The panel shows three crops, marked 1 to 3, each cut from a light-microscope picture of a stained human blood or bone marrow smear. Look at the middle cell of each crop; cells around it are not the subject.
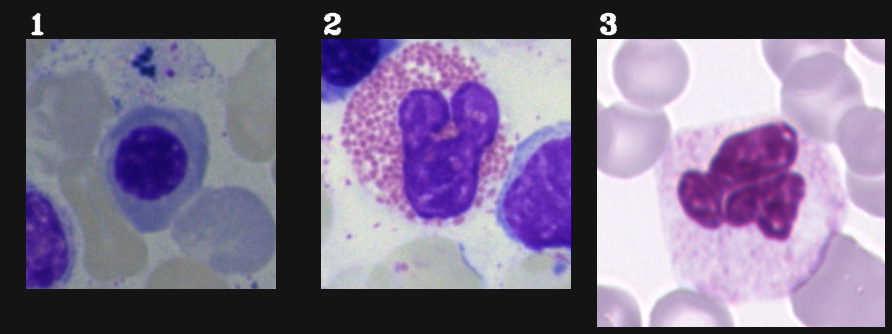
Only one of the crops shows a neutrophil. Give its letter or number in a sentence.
Among the crops provided, a neutrophil occupies the center of crop 3.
